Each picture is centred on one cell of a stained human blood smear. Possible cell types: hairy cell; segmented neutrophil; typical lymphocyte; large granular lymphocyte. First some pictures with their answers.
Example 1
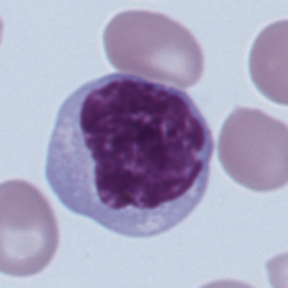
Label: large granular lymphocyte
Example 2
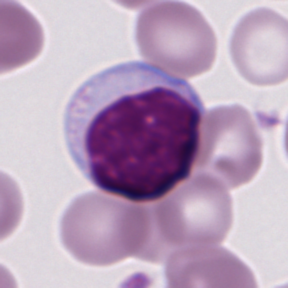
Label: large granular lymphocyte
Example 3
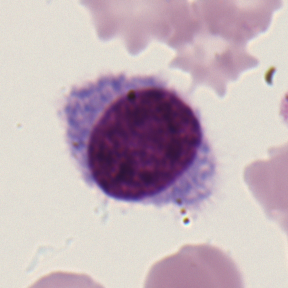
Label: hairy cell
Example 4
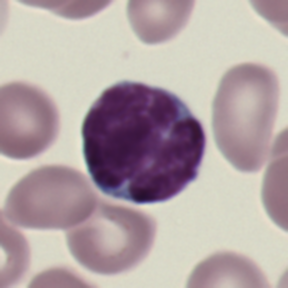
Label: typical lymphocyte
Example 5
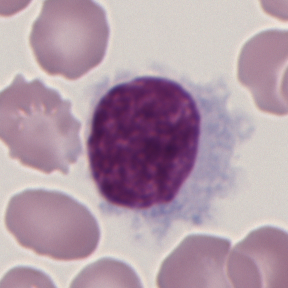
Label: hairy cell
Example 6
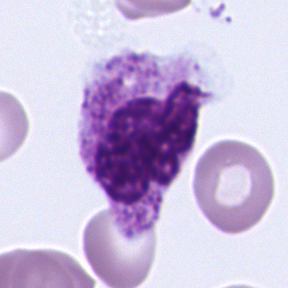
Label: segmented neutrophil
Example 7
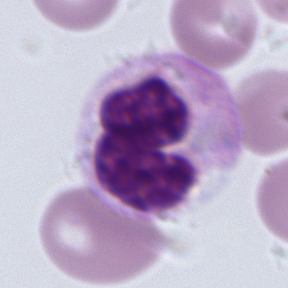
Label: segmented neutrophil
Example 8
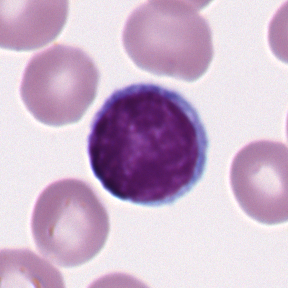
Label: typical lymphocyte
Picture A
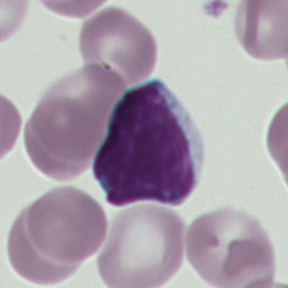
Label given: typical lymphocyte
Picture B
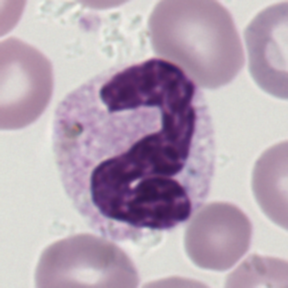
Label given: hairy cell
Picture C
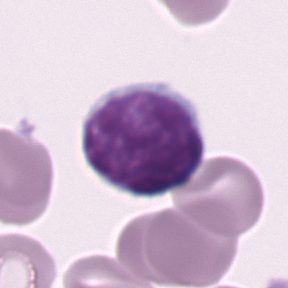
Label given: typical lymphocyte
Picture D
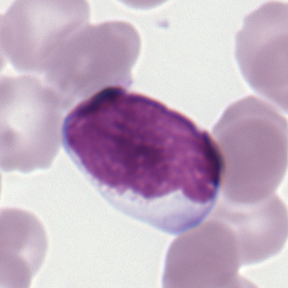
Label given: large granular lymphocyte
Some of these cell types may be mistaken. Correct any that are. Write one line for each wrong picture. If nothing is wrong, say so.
B: not hairy cell but segmented neutrophil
